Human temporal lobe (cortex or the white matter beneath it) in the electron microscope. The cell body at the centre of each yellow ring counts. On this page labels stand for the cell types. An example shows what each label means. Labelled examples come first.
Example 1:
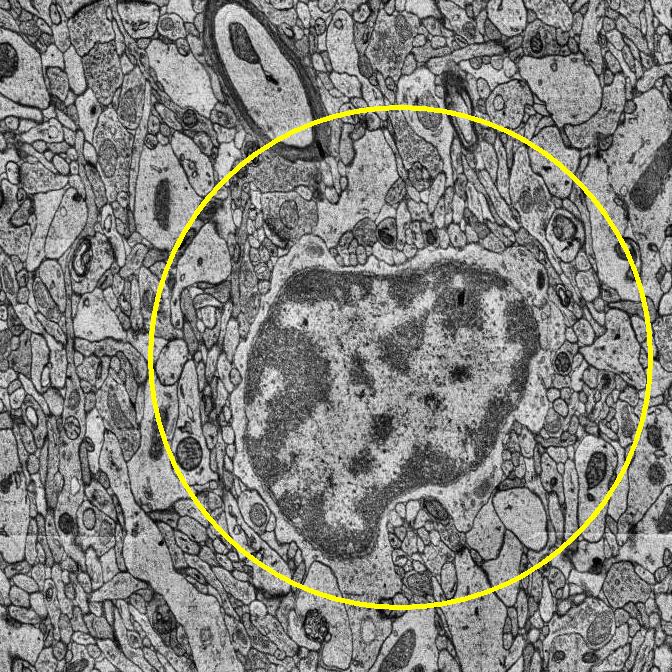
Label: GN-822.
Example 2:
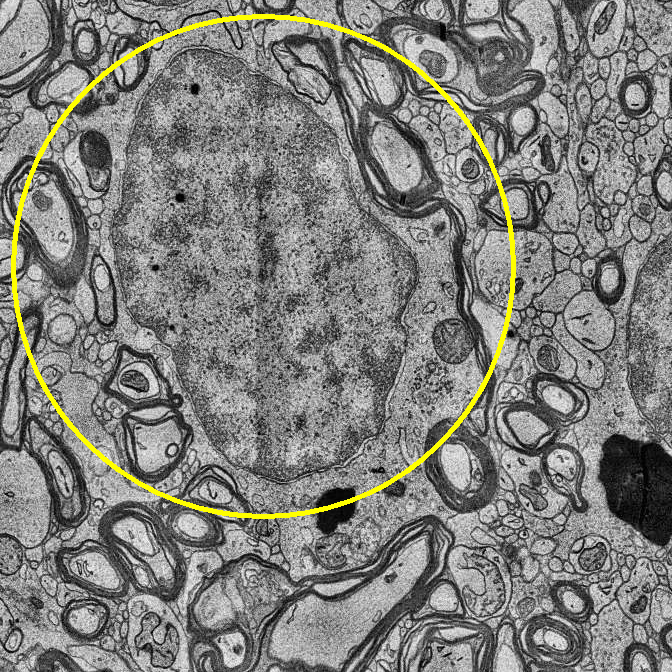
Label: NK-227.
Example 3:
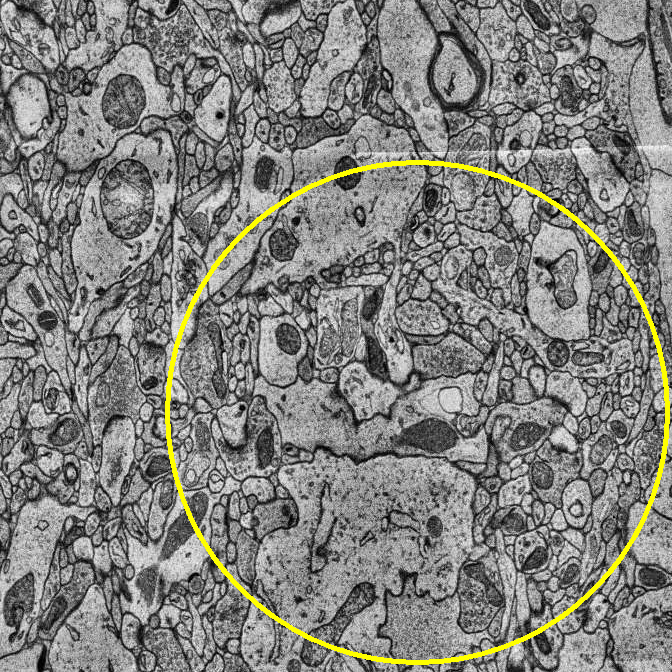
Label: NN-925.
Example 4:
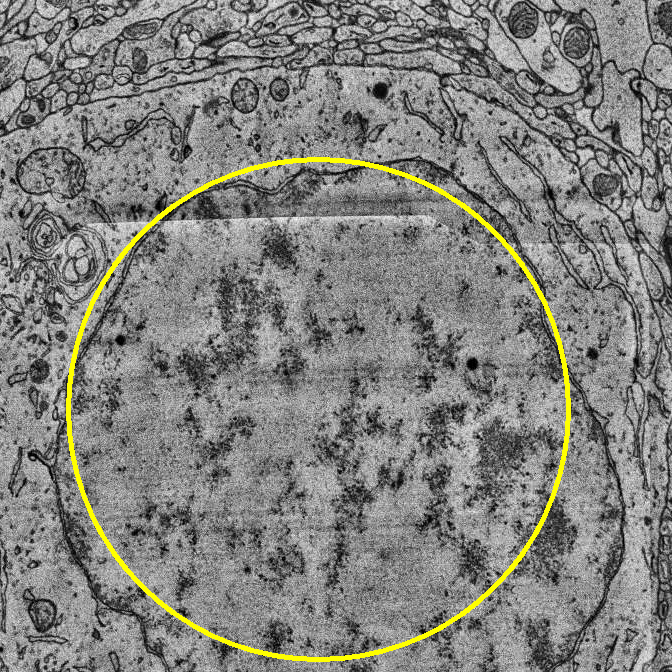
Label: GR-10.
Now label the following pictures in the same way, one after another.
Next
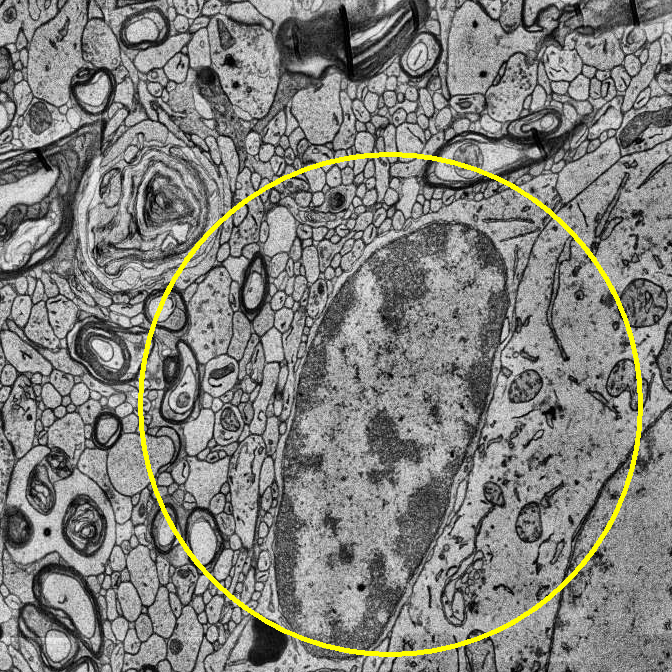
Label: GN-822.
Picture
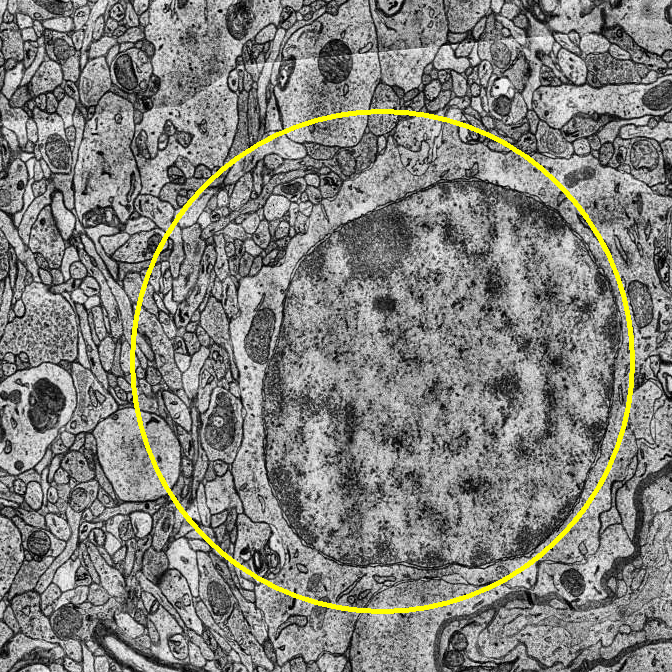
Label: GN-822.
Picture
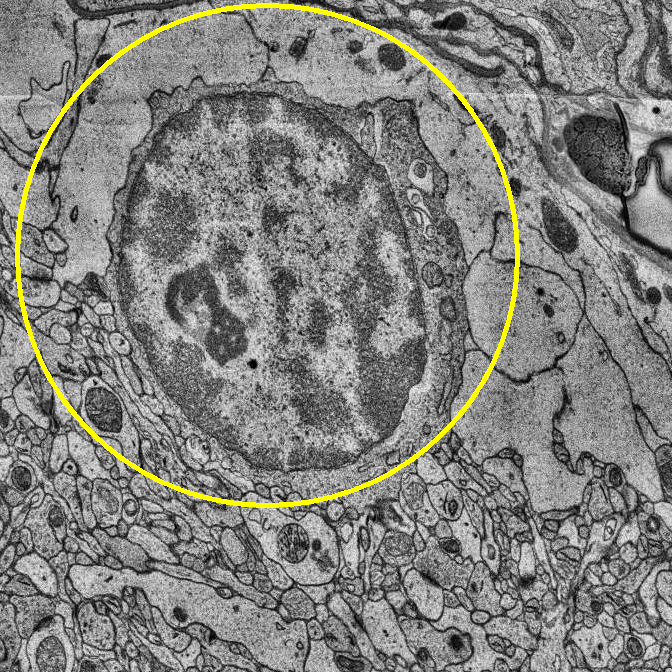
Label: NK-227.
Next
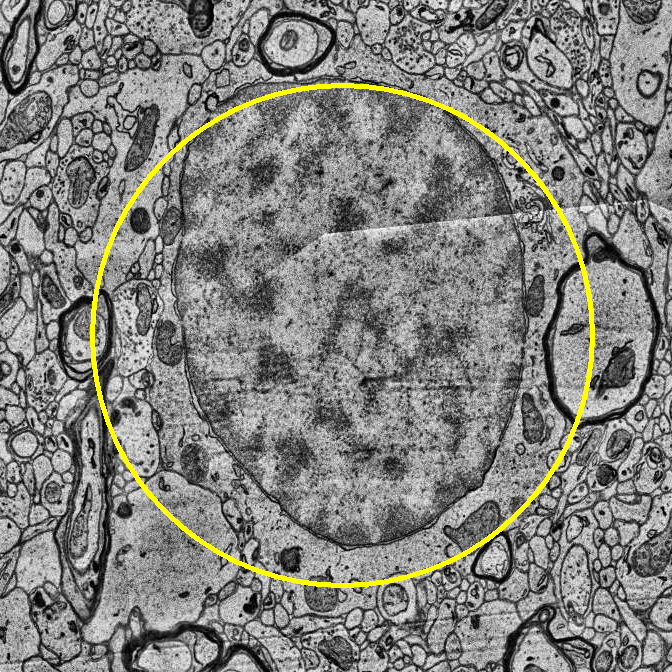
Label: NK-227.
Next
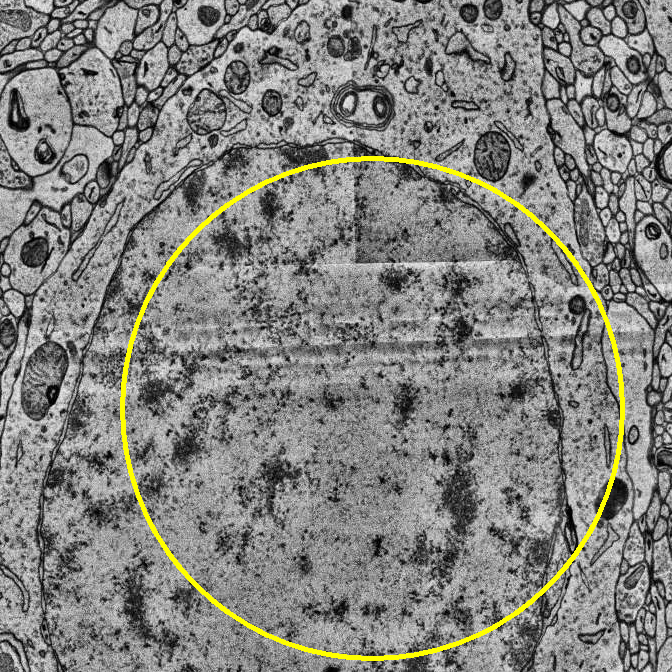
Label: NN-925.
